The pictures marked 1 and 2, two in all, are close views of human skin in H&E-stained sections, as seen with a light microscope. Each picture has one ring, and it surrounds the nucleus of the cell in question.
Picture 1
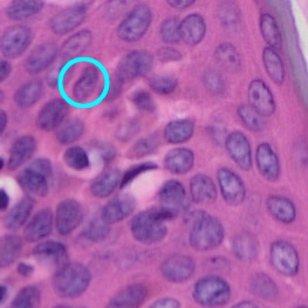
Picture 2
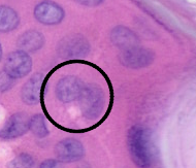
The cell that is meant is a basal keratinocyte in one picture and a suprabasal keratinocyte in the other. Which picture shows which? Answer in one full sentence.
In picture 1 the cell is a basal keratinocyte; in picture 2, a suprabasal keratinocyte.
